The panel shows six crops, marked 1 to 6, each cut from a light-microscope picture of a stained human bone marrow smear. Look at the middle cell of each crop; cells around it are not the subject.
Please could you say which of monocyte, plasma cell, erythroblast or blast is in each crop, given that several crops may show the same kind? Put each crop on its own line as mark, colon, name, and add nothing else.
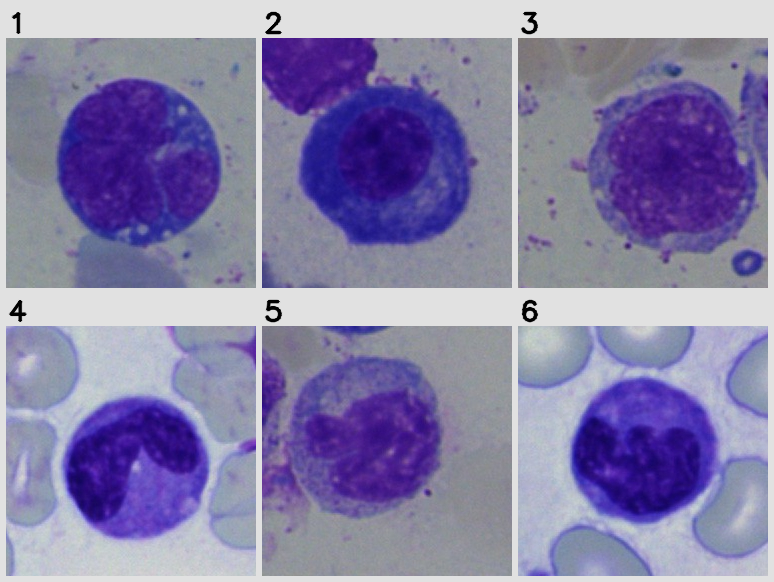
1: blast
2: plasma cell
3: monocyte
4: monocyte
5: monocyte
6: monocyte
